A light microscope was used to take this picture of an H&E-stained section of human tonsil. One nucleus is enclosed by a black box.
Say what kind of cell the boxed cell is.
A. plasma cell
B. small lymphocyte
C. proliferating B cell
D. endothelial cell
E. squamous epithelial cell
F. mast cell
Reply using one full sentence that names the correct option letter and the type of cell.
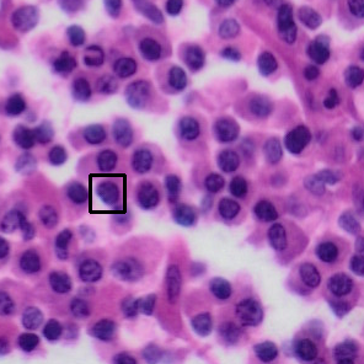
Since the boxed cell is a plasma cell, option A is correct.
